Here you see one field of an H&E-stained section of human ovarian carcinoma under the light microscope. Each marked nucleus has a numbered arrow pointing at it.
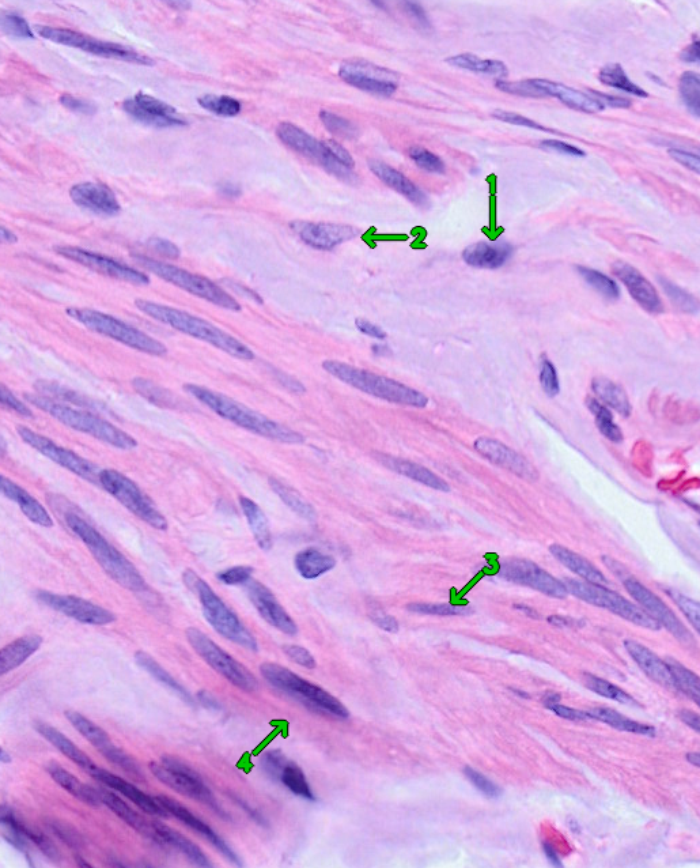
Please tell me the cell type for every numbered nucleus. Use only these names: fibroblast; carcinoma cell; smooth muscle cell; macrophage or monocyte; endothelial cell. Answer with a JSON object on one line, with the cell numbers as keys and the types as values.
{"1": "fibroblast", "2": "smooth muscle cell", "3": "smooth muscle cell", "4": "smooth muscle cell"}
